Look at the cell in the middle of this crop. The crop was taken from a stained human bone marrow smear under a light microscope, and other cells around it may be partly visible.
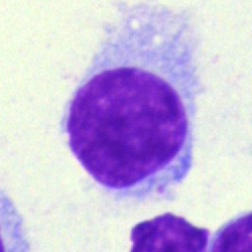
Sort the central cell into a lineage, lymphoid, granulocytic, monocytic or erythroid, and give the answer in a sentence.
The central cell in this crop is categorized under the lymphoid lineage.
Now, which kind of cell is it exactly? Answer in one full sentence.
The cell of interest, located centrally, is a hairy cell.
